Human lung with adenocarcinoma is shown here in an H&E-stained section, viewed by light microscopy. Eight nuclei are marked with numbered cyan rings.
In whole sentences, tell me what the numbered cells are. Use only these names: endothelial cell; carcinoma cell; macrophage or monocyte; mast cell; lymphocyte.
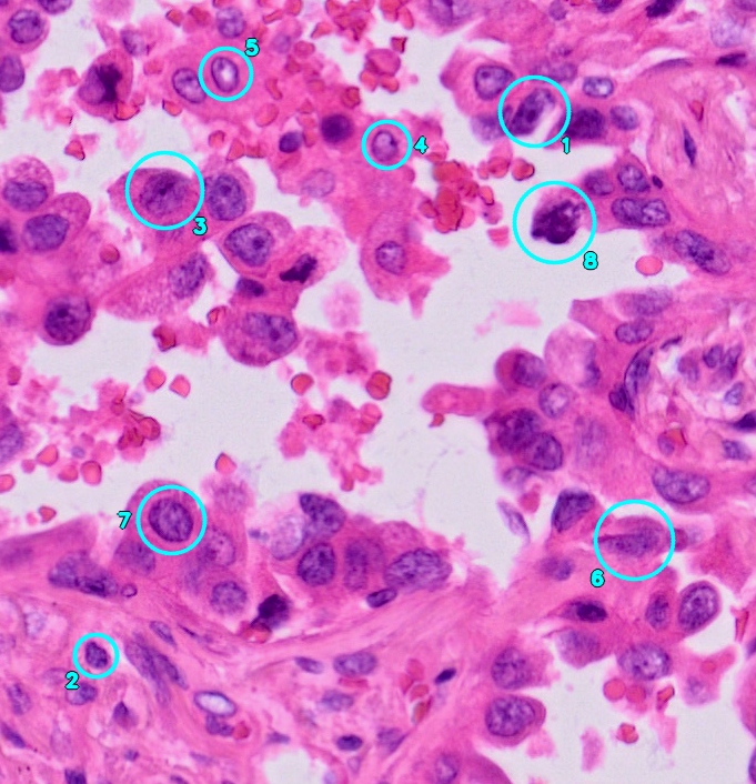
Cell 1 is a carcinoma cell, cell 2 is a lymphocyte, cell 3 is a carcinoma cell, cell 4 is a macrophage or monocyte, cell 5 is a macrophage or monocyte, cell 6 is a carcinoma cell, cell 7 is a carcinoma cell and cell 8 is a carcinoma cell.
